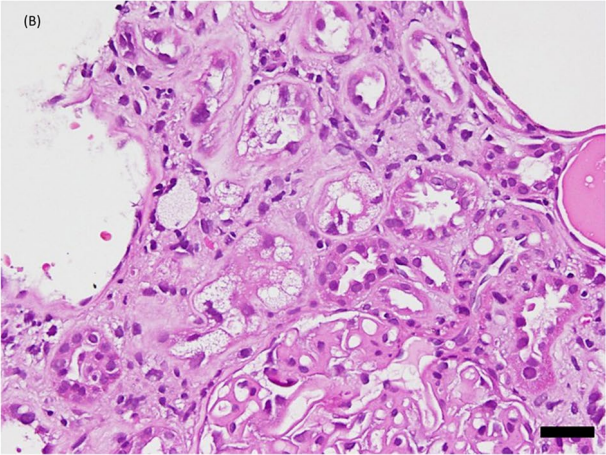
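This is kidney cortex with tubules cut in cross-section, their proximal tubular epithelial cells stuffed with optically clear intracytoplasmic vacuoles. The vacuoles look empty, ranging from large coarse bubbles to fine foamy ones, and push the pink cytoplasm aside around small lumens. Between the tubules lies a loose interstitium with scattered nuclei, and a homogeneous pink cast sits at the upper right edge.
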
